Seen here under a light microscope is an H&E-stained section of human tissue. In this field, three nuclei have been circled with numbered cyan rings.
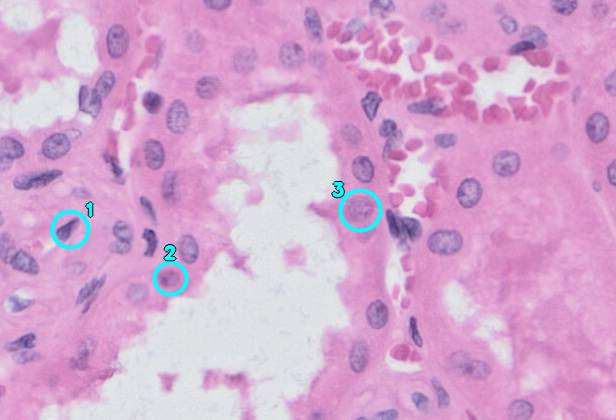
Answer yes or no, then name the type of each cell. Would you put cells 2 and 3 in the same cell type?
Yes, cells 2 and 3 are alike in being proximal tubule cells.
